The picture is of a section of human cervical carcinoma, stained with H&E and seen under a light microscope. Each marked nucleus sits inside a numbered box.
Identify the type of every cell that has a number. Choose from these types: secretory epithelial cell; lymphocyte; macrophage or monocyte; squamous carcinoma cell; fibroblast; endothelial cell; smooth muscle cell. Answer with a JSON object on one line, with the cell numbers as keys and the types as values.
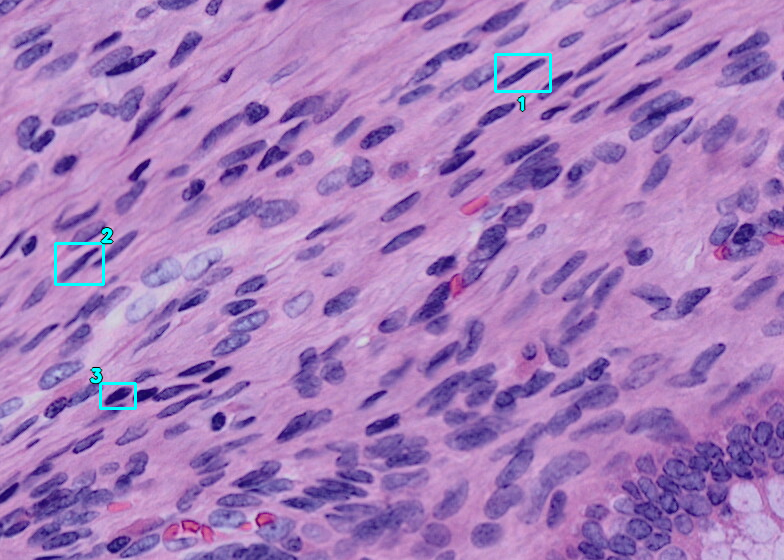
{"1": "fibroblast", "2": "fibroblast", "3": "lymphocyte"}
